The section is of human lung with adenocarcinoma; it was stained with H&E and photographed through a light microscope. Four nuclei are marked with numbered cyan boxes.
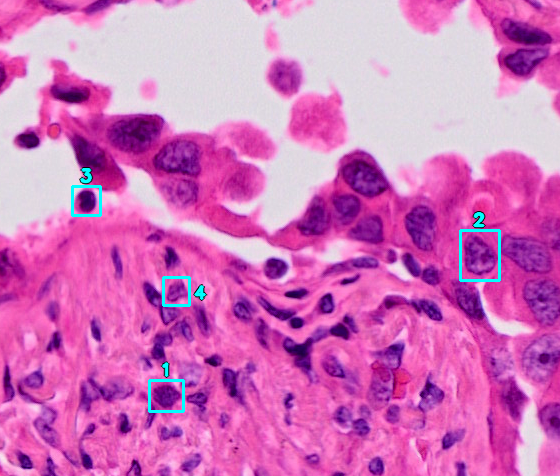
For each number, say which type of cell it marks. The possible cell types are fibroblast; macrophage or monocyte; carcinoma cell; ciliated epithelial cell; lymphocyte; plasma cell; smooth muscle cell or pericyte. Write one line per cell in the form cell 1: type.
cell 1: plasma cell
cell 2: carcinoma cell
cell 3: lymphocyte
cell 4: lymphocyte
